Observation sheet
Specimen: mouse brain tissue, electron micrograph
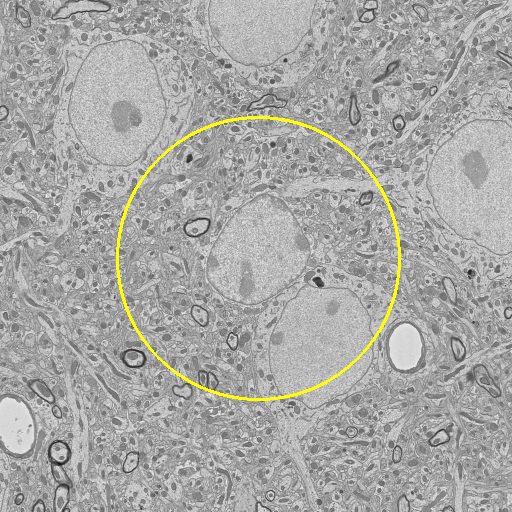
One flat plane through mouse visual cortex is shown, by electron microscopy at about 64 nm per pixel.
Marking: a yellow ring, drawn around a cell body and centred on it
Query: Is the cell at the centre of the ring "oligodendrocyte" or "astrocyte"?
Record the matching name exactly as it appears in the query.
astrocyte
